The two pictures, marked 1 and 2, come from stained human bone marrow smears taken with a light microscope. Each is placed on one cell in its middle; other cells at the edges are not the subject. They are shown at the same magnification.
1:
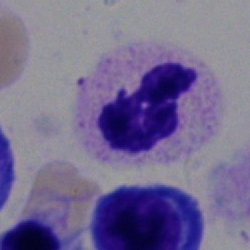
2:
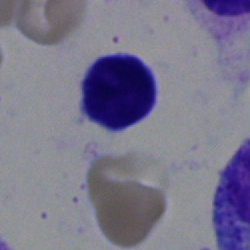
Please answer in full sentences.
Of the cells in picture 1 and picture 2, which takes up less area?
Smaller is the cell in picture 2, and the other is about 2.5 times as large in area.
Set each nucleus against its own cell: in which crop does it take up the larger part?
In picture 2 the nucleus takes up the larger part of its cell.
